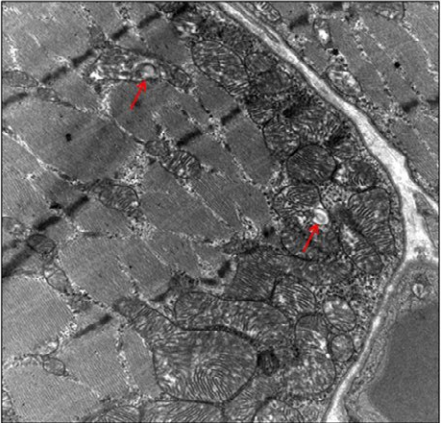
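Skeletal muscle fibre by transmission electron microscopy, showing striated myofibrils with dark Z-lines and groups of mitochondria lying between them and along the fibre's edge, where a pale band of cell boundary runs diagonally. Most mitochondria are oval with parallel cristae, but some contain pale, empty-looking spaces where the regular cristae are broken up; arrows point to two such mitochondria. The myofibrils remain in bundles, though the spaces between them appear somewhat irregular.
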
